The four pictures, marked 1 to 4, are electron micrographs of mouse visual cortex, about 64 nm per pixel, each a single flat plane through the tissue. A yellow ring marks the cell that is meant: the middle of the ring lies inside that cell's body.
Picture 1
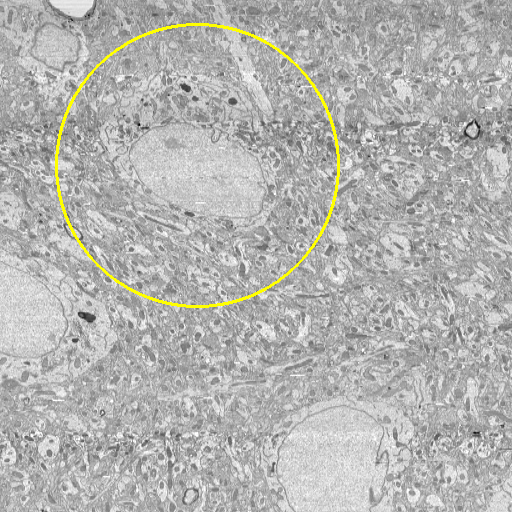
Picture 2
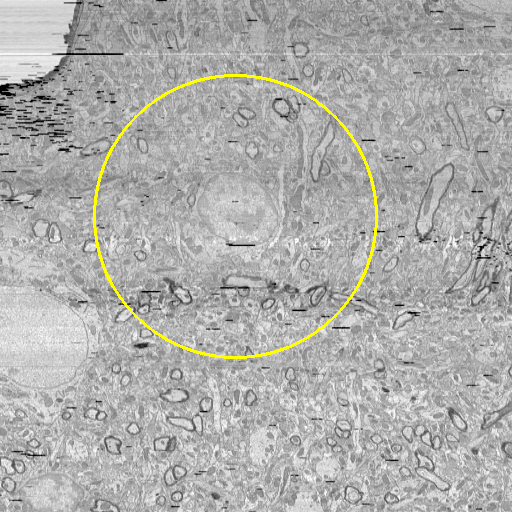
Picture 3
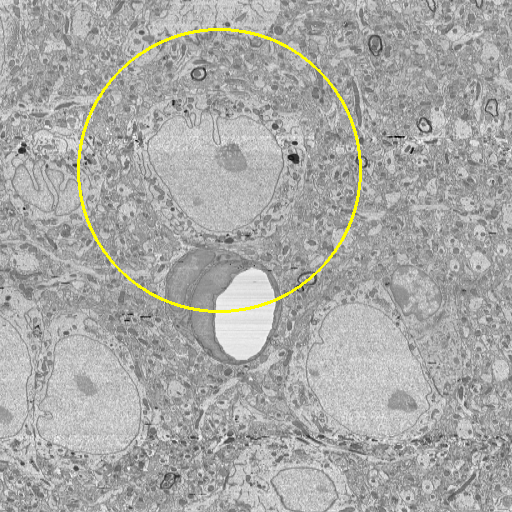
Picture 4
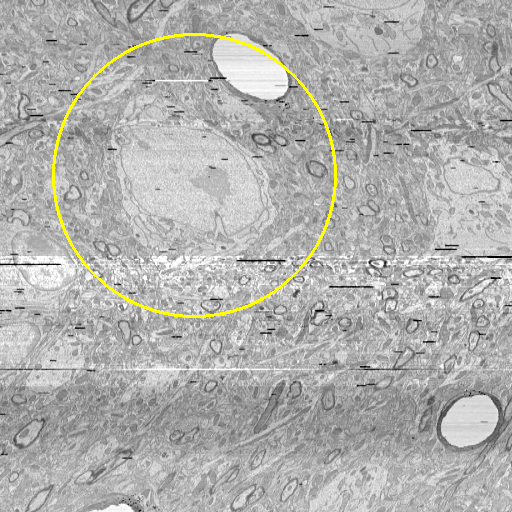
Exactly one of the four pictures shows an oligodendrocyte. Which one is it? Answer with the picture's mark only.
2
